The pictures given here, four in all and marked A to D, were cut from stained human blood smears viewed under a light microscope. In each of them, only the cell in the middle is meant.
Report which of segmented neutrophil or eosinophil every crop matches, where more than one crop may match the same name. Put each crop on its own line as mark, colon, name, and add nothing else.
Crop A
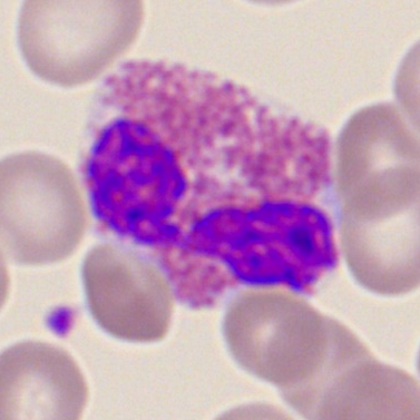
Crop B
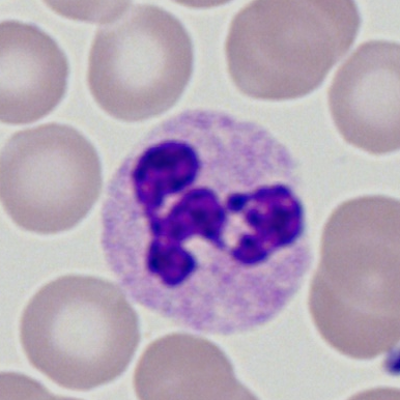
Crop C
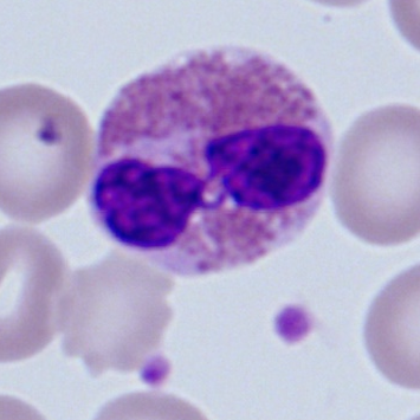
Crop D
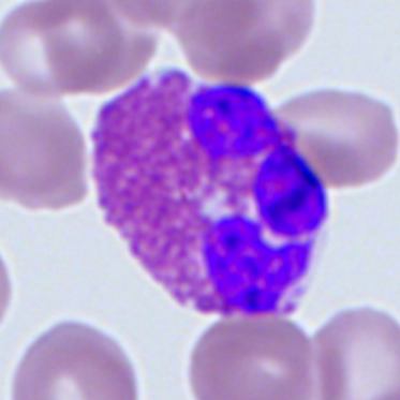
A: eosinophil
B: segmented neutrophil
C: eosinophil
D: eosinophil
